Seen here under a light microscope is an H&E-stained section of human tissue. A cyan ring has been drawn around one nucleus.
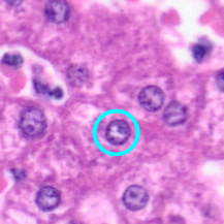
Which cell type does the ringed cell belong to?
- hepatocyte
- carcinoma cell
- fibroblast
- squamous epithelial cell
hepatocyte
